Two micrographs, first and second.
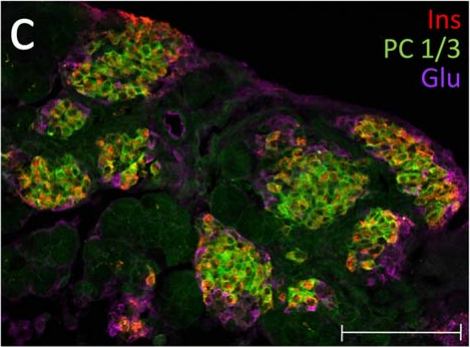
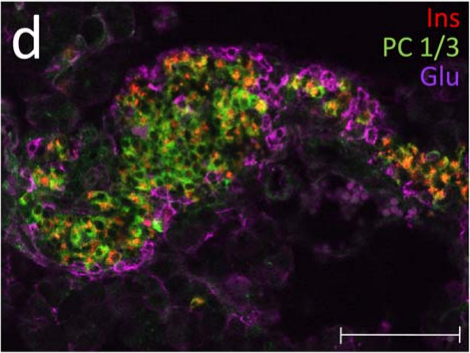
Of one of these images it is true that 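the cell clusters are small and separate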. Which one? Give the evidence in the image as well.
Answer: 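Second image: one large continuous cluster of red and green cells fills much of the field. First image: several small separate clusters of red and green cells lie apart from each other. So: the first image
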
